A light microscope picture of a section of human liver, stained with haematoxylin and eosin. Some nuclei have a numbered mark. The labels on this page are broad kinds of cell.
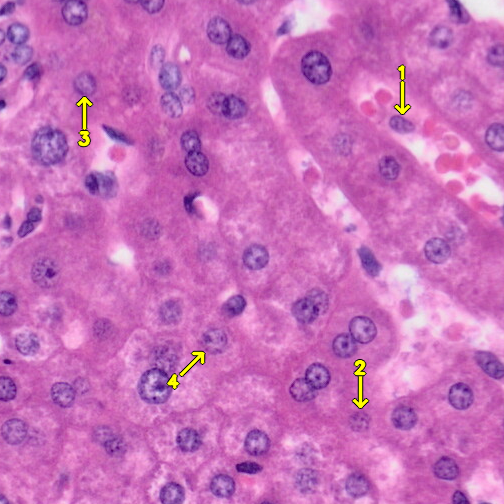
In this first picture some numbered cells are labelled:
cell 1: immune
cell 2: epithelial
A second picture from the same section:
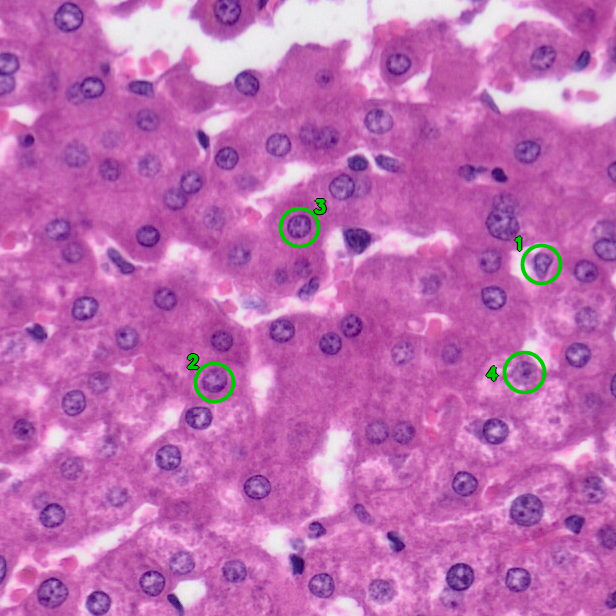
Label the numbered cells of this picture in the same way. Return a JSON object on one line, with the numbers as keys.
{"1": "immune", "2": "epithelial", "3": "epithelial", "4": "epithelial"}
